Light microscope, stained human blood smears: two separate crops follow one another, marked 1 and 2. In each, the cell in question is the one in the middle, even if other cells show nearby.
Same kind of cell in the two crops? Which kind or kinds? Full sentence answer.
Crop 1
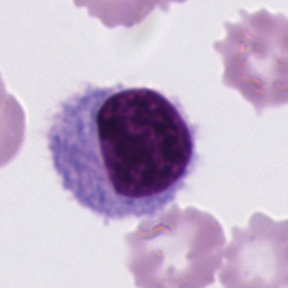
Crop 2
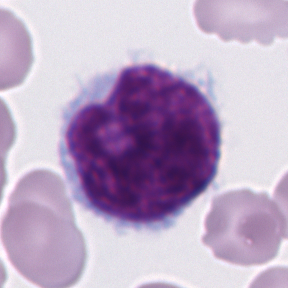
Yes, what both crops show at their centres are hairy cells.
